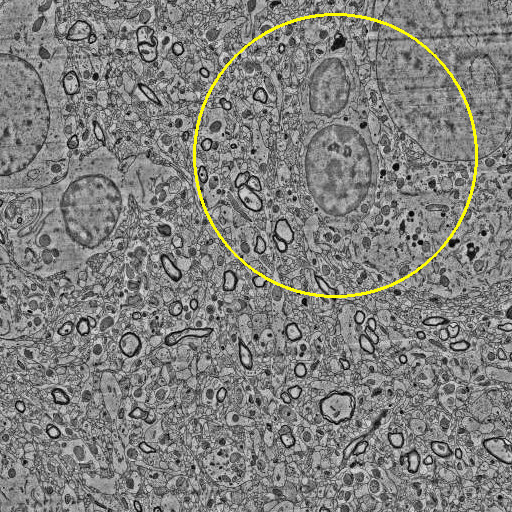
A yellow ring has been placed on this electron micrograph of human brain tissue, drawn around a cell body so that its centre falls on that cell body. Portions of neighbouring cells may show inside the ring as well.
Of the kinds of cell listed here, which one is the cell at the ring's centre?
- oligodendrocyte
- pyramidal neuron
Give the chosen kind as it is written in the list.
oligodendrocyte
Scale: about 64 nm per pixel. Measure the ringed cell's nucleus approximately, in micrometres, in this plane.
In this plane, the nucleus is roughly 6 by 4 micrometres.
